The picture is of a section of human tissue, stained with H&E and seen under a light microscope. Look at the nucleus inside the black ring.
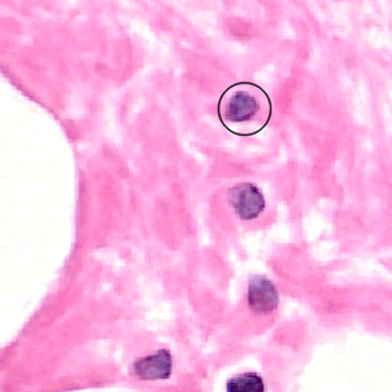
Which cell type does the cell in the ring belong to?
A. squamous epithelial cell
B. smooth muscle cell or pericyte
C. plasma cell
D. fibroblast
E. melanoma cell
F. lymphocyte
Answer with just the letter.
F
